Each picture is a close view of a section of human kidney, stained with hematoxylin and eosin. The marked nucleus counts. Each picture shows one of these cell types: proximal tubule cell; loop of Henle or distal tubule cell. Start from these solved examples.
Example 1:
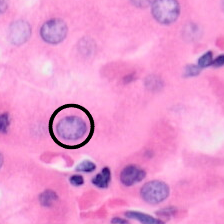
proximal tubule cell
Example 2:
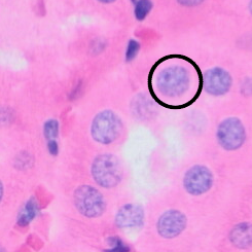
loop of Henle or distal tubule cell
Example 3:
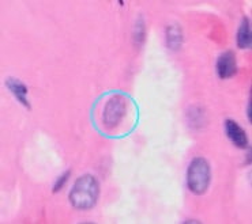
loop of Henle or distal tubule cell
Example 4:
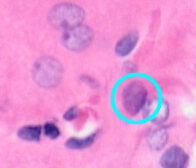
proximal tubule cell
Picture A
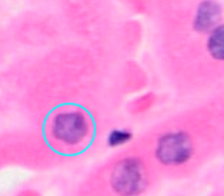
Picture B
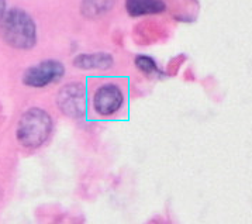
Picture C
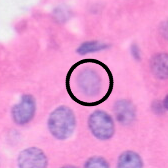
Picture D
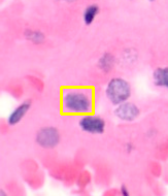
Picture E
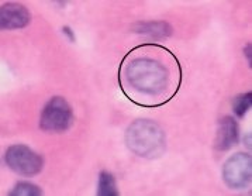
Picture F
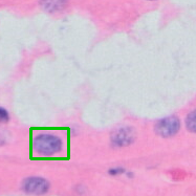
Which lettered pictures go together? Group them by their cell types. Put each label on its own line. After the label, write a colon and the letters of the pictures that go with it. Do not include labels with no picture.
proximal tubule cell: A, E
loop of Henle or distal tubule cell: B, C, D, F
